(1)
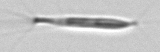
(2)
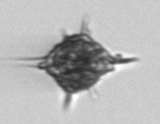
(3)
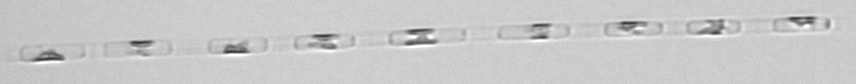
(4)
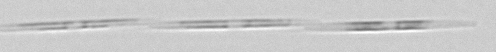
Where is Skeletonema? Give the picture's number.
3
